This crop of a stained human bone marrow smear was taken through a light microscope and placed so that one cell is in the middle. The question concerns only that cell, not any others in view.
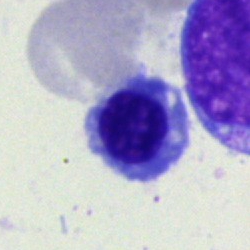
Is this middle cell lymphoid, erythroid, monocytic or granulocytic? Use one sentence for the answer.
Under the erythroid lineage falls the cell in the middle of the crop.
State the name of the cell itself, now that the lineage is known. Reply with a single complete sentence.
The middle cell in this particular crop is an erythroblast.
